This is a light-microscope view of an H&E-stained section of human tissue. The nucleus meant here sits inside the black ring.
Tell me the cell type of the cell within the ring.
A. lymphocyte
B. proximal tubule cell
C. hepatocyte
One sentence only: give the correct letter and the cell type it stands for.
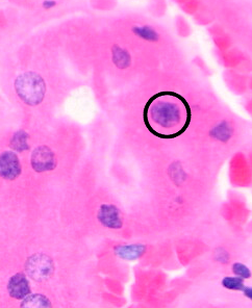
It is as option B has it, the cell within the ring being a proximal tubule cell.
